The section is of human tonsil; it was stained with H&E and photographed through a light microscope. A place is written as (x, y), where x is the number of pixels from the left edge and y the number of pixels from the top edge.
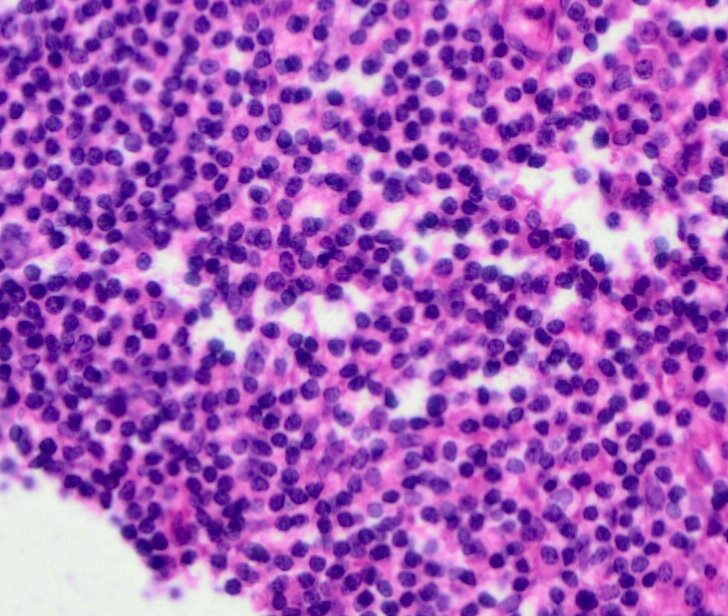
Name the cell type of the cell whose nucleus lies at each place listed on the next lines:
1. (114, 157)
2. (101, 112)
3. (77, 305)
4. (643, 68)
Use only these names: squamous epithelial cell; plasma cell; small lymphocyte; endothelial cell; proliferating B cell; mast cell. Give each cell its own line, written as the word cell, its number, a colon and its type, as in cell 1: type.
cell 1: small lymphocyte
cell 2: small lymphocyte
cell 3: small lymphocyte
cell 4: plasma cell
